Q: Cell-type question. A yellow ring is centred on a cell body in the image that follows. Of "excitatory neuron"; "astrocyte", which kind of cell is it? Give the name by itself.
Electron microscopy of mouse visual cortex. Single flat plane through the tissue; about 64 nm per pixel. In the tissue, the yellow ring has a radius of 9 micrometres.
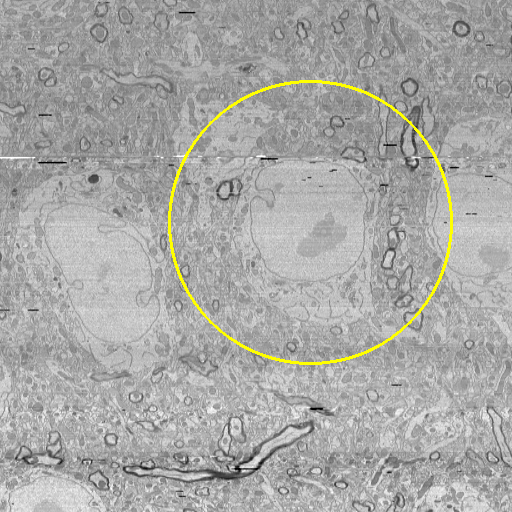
excitatory neuron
